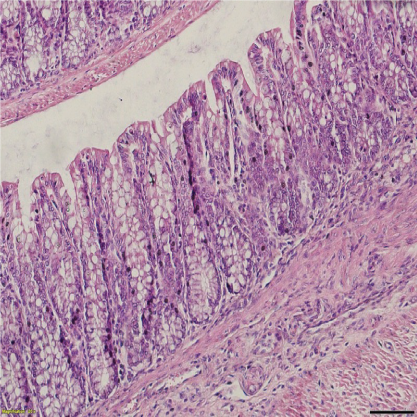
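Section of colon wall showing mucosa made of long, straight, tightly packed tubular crypts that run from the muscular layer toward the lumen at the top. The crypts are lined by columnar epithelium rich in goblet cells, seen as pale, clear vacuoles between purple-stained nuclei. Thin strands of pink lamina propria separate neighbouring crypts. Beneath the crypts lies a band of pink smooth muscle. In the upper left corner a further strip of glandular mucosa and muscle from another part of the wall is cut, separated by the pale, empty lumen.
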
